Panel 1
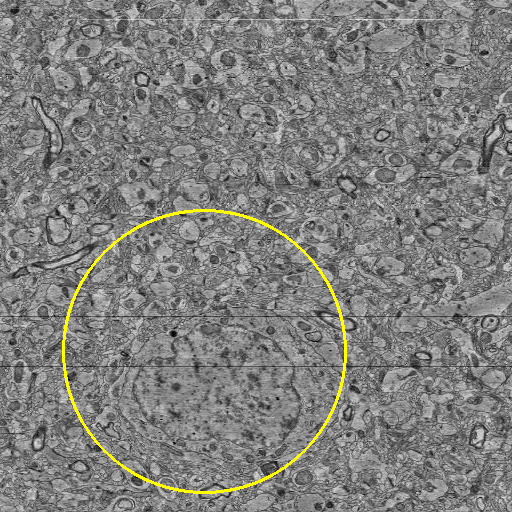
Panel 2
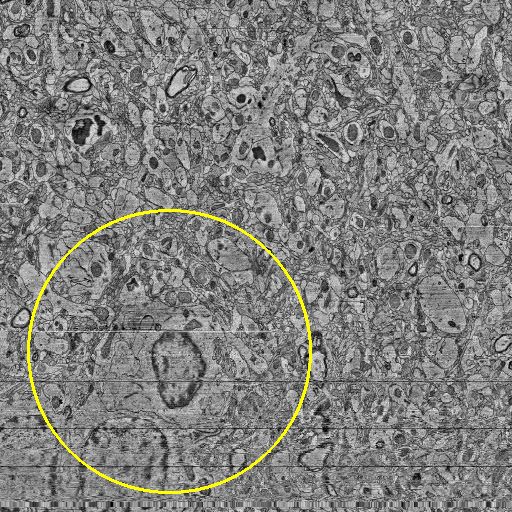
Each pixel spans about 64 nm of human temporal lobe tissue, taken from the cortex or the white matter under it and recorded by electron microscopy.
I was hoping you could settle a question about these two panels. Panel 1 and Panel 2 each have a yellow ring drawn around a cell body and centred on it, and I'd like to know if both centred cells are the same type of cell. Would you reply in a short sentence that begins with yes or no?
No, they are two types of cell.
